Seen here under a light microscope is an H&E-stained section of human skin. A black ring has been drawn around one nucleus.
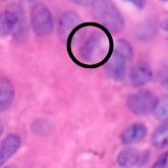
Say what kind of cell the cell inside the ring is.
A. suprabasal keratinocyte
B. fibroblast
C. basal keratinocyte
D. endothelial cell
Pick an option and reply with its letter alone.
C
